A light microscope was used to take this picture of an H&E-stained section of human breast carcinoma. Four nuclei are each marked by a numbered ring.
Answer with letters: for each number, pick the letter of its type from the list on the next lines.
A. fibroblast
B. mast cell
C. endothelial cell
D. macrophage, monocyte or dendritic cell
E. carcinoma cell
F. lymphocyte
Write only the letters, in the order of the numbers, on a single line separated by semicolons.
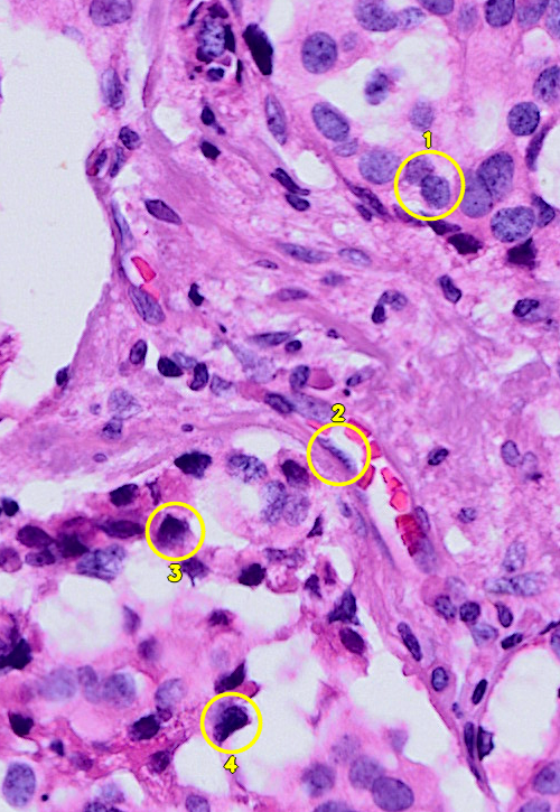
E; C; E; E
